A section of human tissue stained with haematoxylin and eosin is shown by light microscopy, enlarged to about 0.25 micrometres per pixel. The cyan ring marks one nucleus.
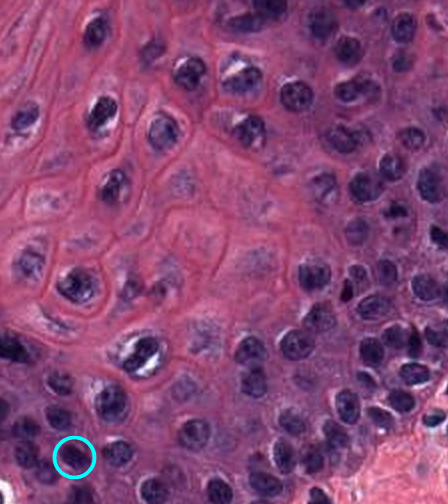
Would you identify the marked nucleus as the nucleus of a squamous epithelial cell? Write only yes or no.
yes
